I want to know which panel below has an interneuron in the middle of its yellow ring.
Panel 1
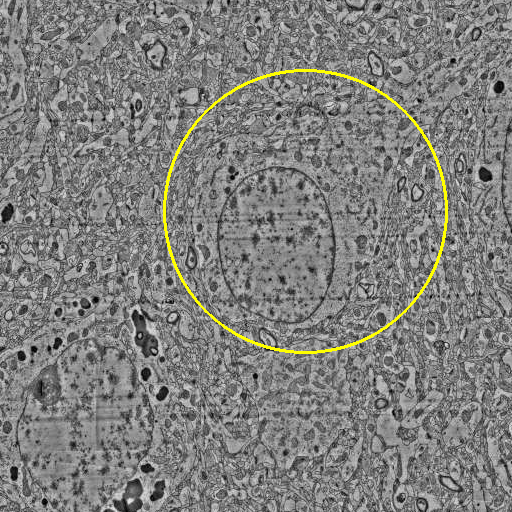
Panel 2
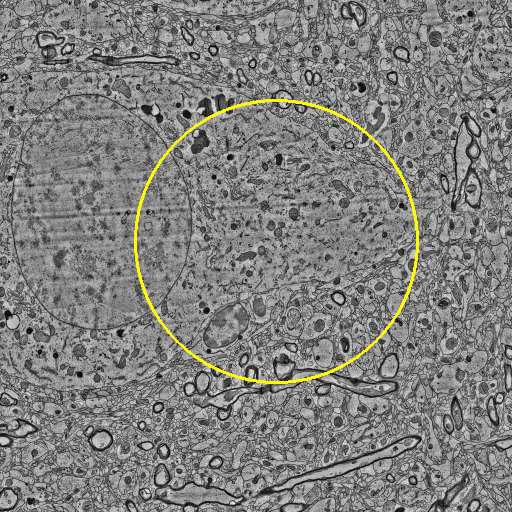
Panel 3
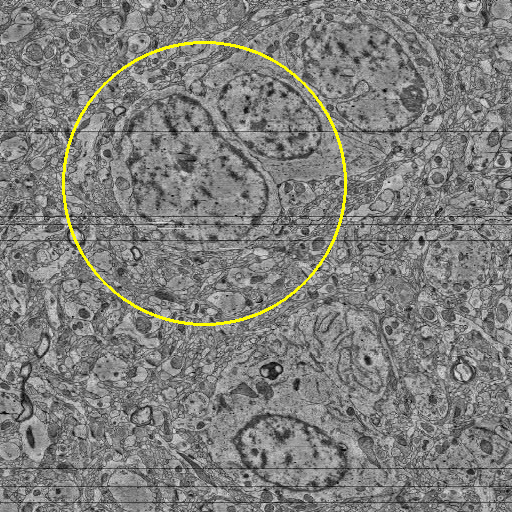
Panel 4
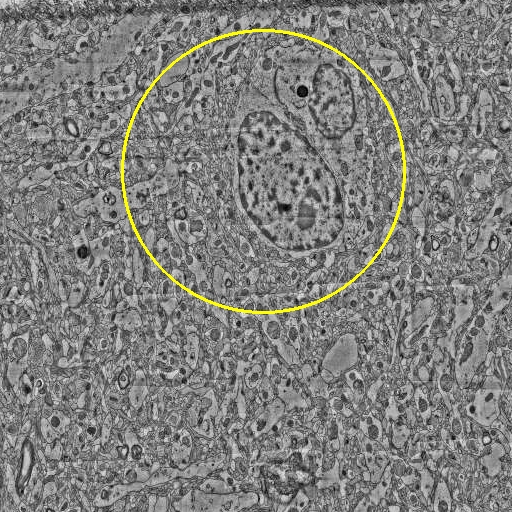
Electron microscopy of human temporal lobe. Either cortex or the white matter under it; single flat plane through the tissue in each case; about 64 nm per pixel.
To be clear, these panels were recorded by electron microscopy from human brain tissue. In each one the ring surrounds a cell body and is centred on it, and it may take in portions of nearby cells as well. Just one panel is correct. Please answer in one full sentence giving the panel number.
Panel 3 has the requested cell sitting at the centre of its ring.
